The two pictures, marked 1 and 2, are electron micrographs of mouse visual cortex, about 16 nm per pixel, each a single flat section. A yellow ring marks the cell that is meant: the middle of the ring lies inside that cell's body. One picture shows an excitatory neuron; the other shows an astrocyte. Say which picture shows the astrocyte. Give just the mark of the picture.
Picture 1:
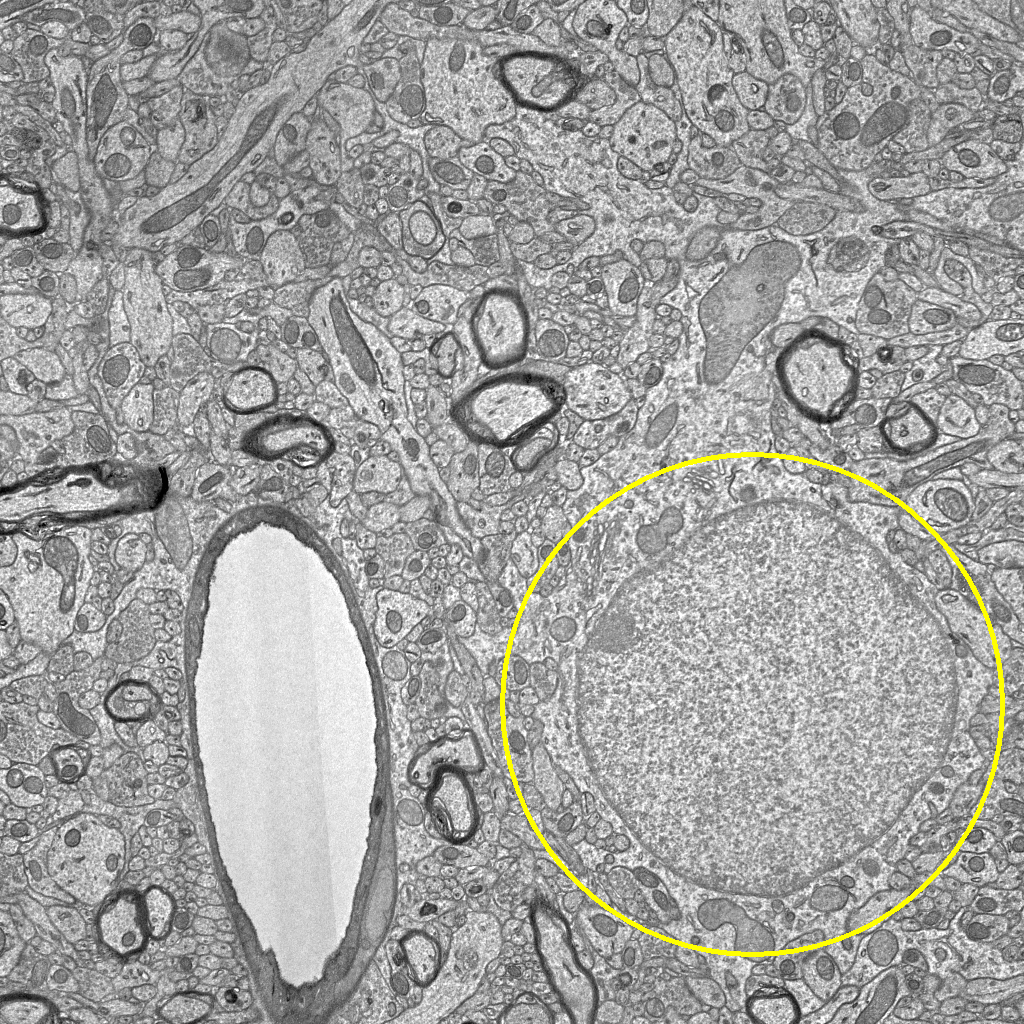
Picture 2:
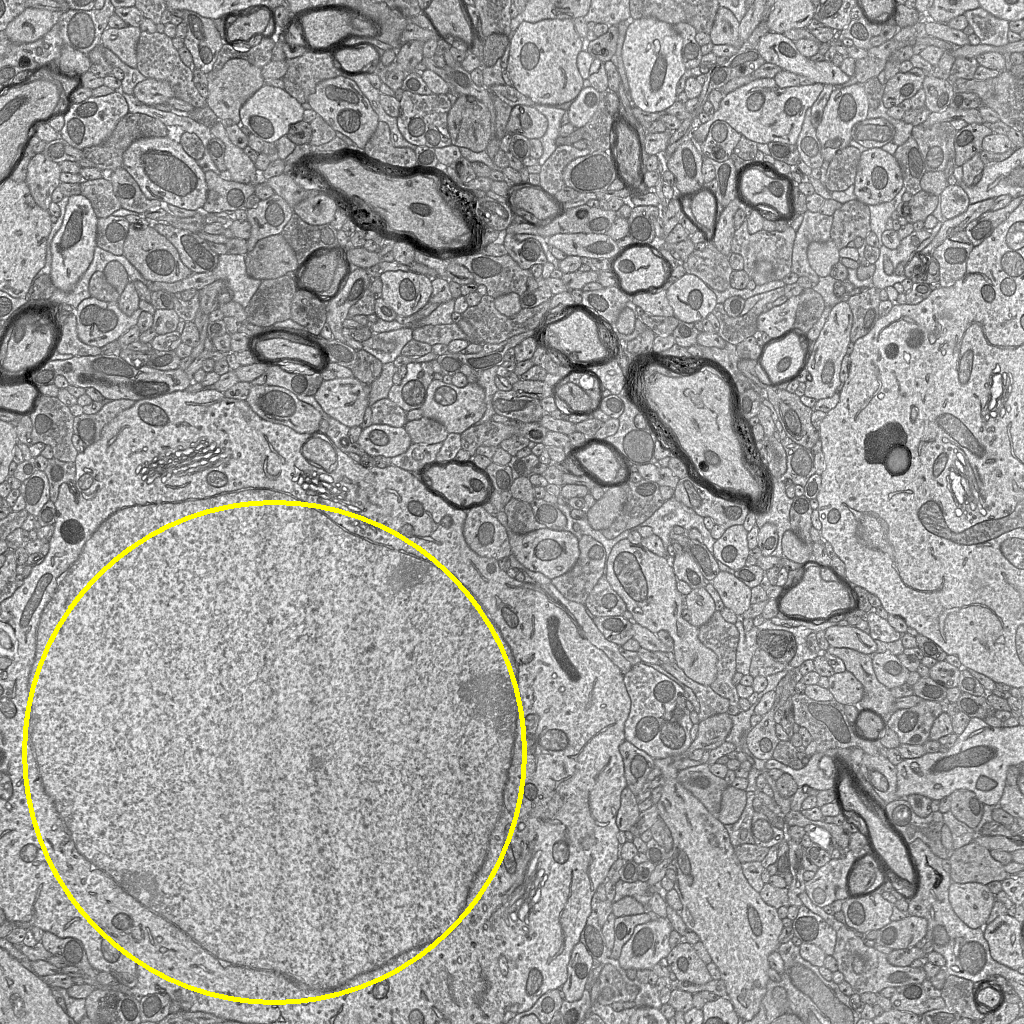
1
